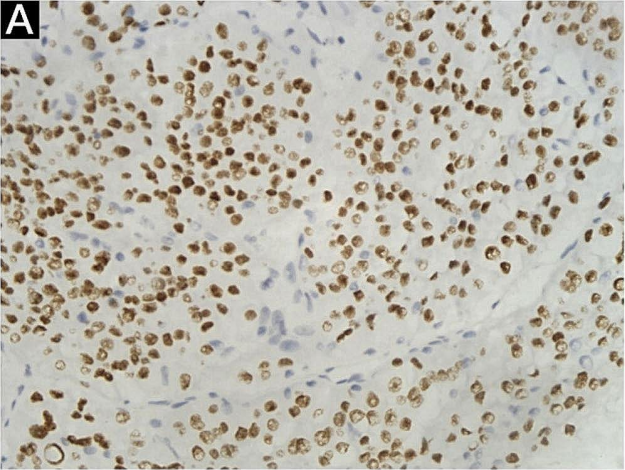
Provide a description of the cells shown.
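This is a tumour made of nests and sheets of rounded tumour cells, and the brown stain sits in their nuclei. The cytoplasm around them is pale and hardly stained. Between the nests run thin strands of stroma whose slender, elongated nuclei stay blue, showing that the brown is confined to the tumour cells.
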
